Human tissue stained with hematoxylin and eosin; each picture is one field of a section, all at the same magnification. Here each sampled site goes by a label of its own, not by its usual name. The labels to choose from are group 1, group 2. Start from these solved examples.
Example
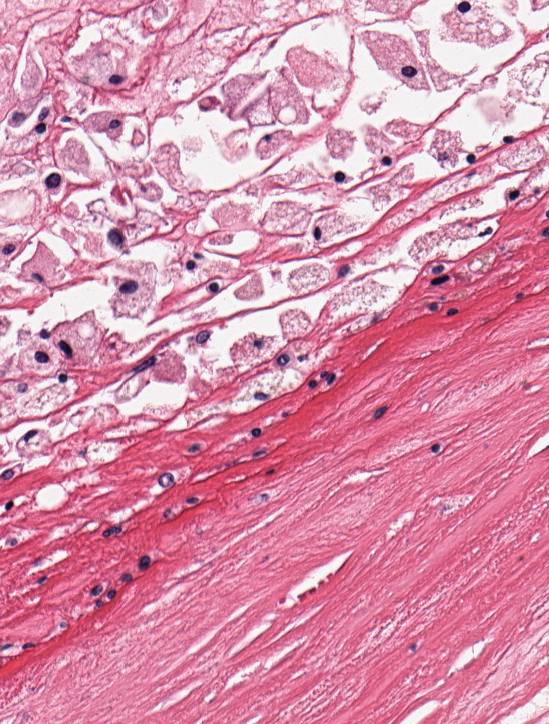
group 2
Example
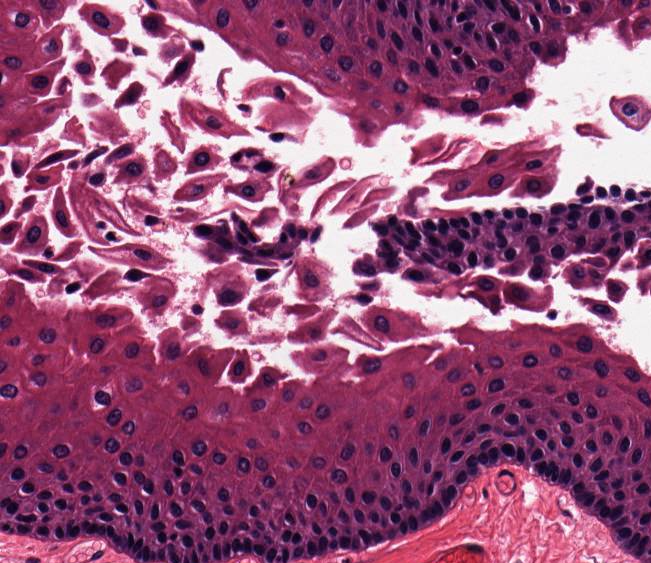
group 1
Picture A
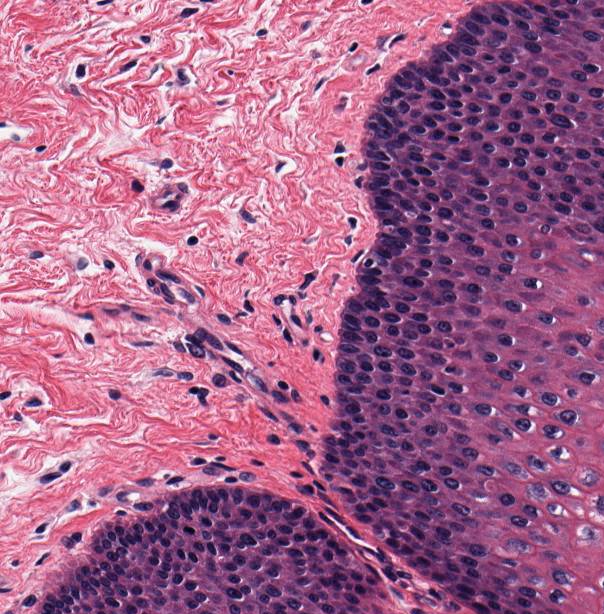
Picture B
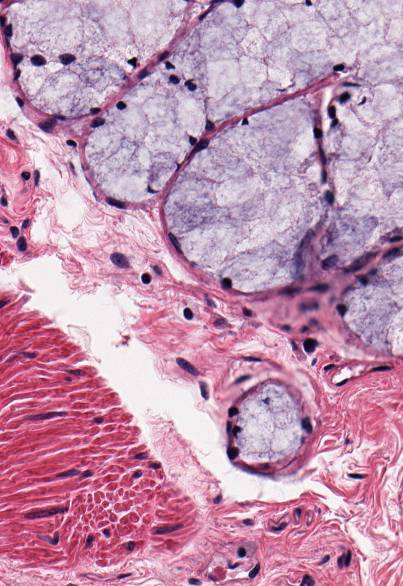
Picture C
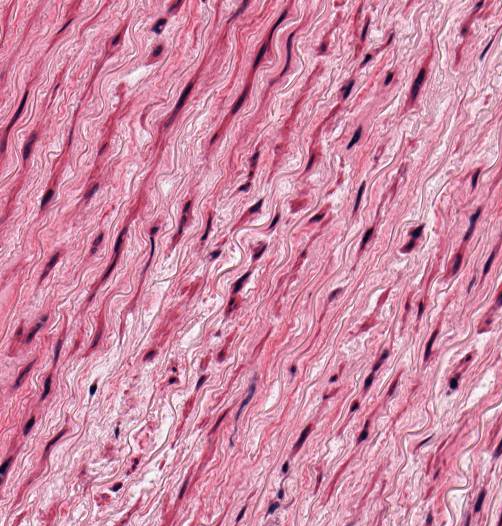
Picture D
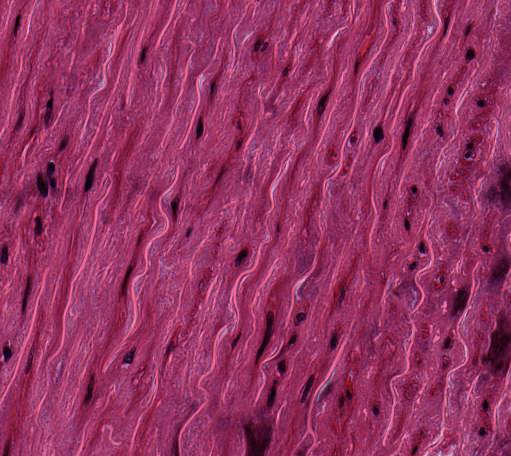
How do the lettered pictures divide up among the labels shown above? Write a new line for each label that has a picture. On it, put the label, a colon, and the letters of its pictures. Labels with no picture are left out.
group 1: A, B
group 2: C, D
